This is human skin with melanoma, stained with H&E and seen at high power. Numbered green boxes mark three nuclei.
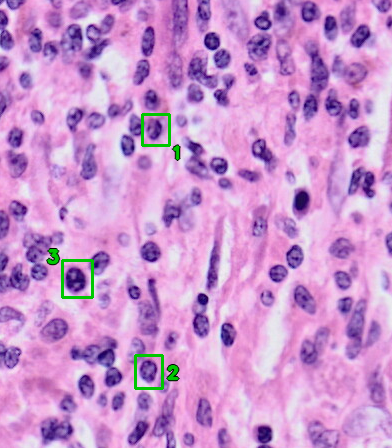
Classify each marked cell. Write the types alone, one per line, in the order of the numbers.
lymphocyte
lymphocyte
plasma cell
